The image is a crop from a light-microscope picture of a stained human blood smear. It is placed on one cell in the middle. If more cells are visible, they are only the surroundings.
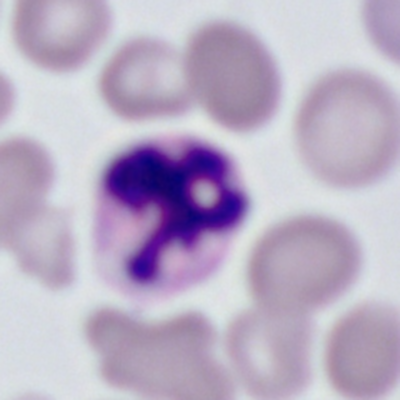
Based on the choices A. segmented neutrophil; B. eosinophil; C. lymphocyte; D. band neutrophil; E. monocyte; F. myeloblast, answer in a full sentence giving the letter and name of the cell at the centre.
Option A is the correct option, with the middle cell being a segmented neutrophil.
